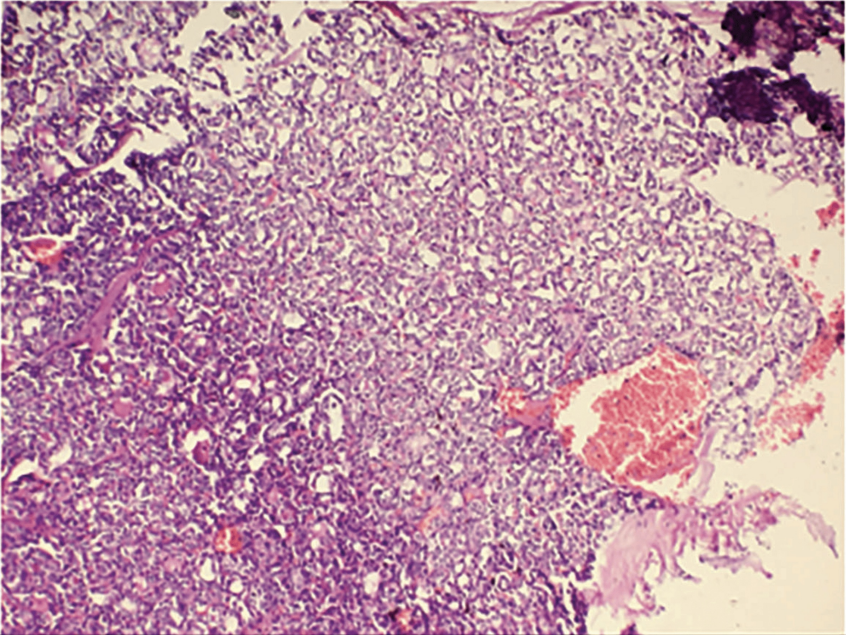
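This is thyroid tissue occupied by a crowded sheet of neoplastic follicular cells. The cells are arranged as numerous tiny follicles packed back to back with scant intervening stroma. Some of the small follicles contain a little pink colloid in their centres, while many lumina appear empty. A blood-filled space with red cells lies at the right edge of the field, and dark purple fragments sit at the upper right corner.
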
